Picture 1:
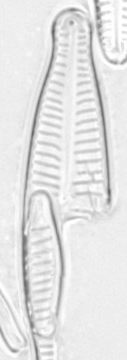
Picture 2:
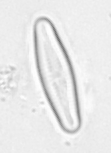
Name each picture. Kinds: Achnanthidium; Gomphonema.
(1) Gomphonema
(2) Achnanthidium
